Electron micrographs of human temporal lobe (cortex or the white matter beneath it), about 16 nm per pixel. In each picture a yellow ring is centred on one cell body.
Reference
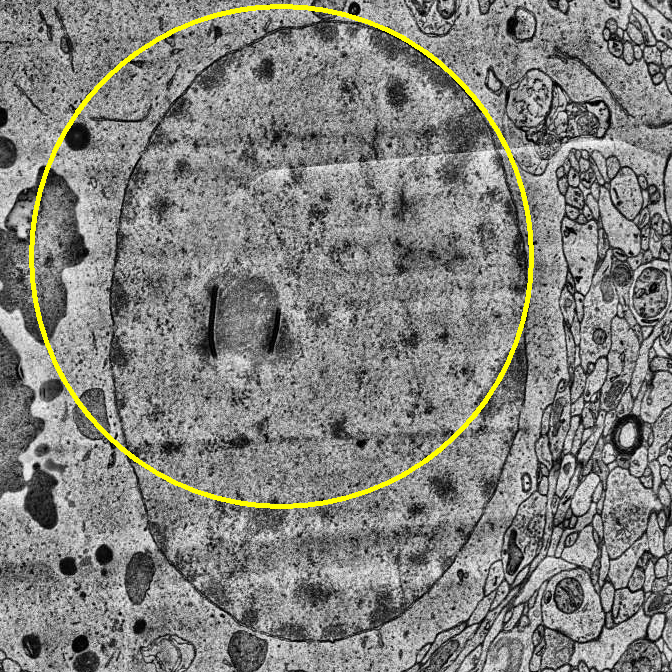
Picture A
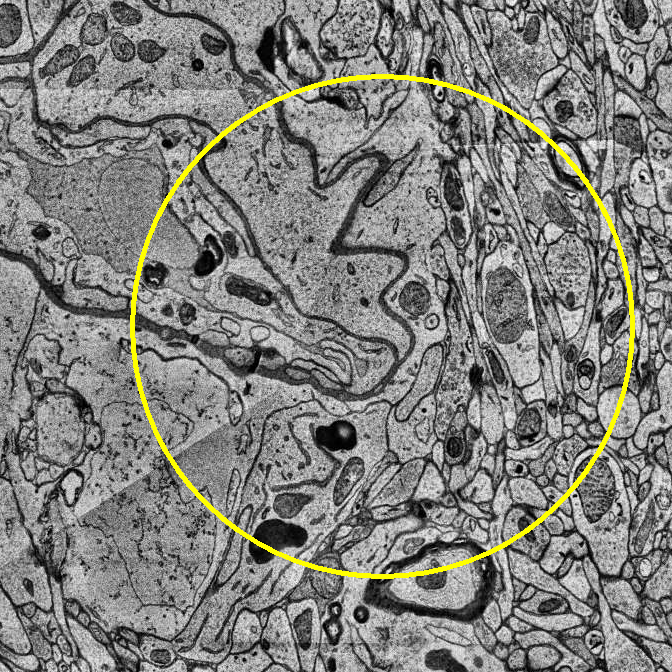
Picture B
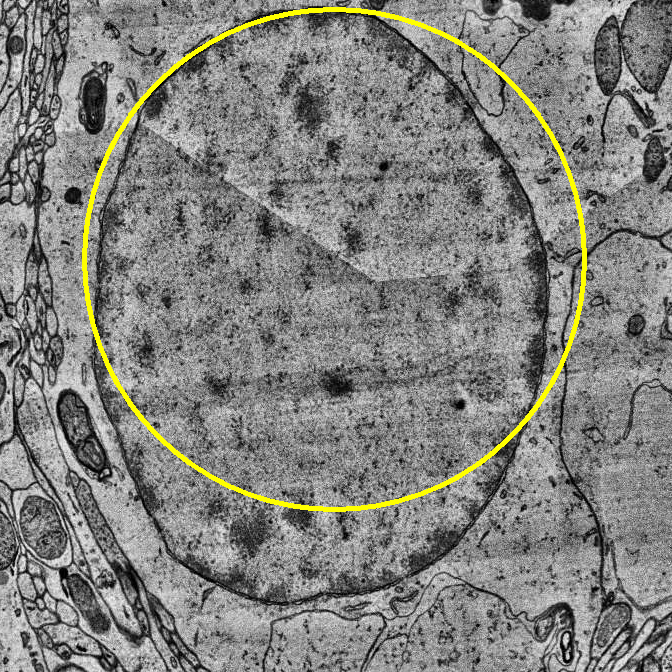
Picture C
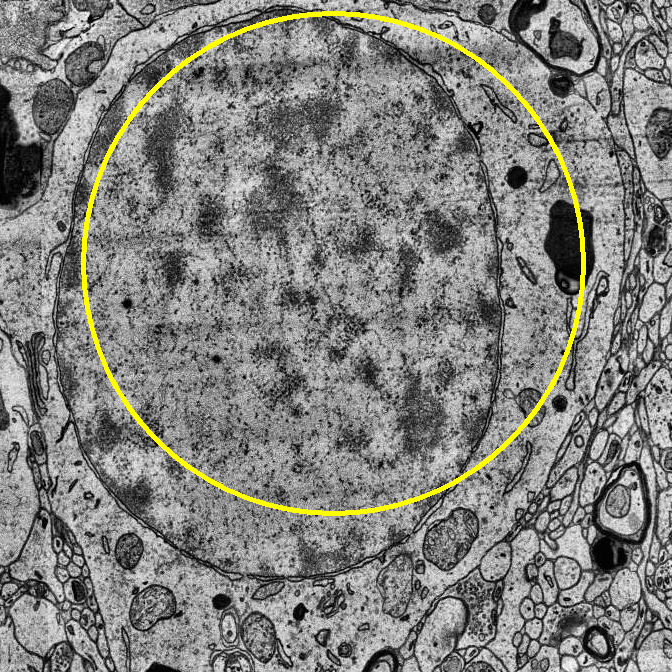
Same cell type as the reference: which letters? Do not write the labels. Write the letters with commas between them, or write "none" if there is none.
B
